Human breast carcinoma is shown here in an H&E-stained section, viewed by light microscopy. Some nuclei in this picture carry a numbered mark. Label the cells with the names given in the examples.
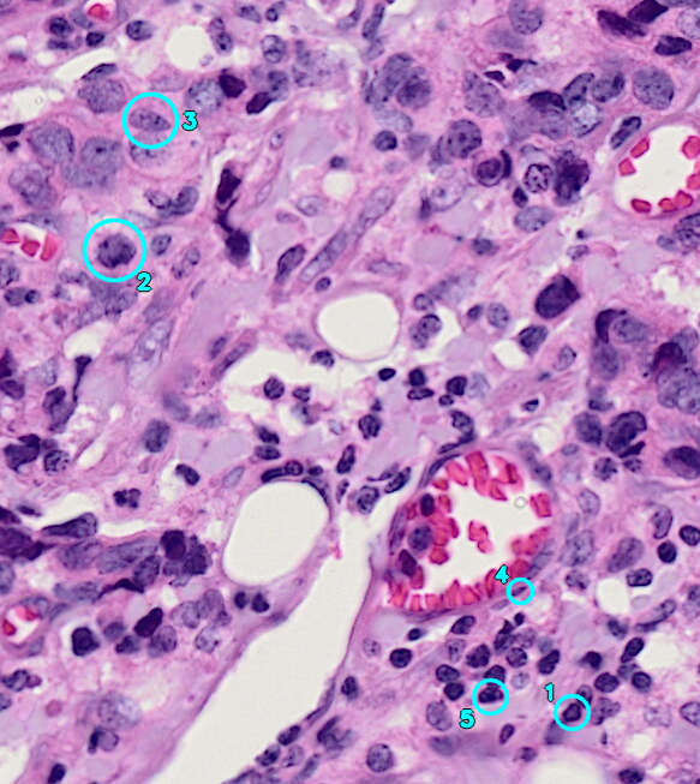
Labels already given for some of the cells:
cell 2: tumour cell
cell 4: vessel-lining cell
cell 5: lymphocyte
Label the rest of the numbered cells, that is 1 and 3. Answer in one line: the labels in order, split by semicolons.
lymphocyte; tumour cell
